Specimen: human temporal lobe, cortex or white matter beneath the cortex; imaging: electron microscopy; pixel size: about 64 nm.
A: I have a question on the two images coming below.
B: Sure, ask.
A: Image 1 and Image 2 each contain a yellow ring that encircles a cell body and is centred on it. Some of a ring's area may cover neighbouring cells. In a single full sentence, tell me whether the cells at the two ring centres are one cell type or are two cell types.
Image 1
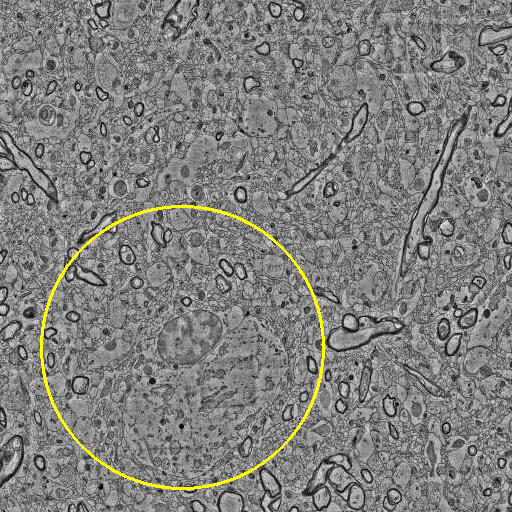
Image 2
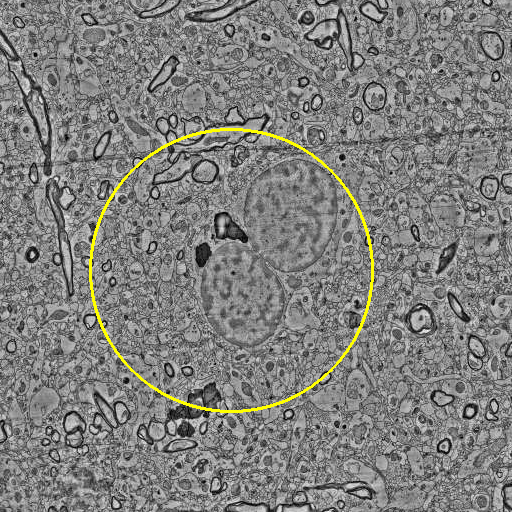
As for the ring-centre cells, the one in Image 1 and the one in Image 2 are two cell types.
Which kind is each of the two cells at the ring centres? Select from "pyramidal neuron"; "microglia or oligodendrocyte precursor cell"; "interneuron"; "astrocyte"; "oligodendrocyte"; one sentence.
The cell at the centre of the ring is a microglial cell or oligodendrocyte precursor cell in the first picture and an oligodendrocyte in the second.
